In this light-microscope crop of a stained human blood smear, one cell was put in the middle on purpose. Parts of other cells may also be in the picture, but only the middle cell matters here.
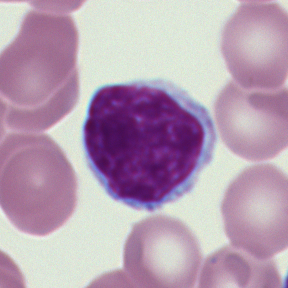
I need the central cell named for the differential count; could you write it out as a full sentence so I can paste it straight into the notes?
Of the cells in this crop, the central one is a lymphocyte.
